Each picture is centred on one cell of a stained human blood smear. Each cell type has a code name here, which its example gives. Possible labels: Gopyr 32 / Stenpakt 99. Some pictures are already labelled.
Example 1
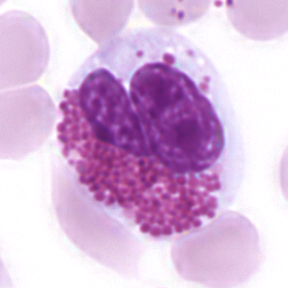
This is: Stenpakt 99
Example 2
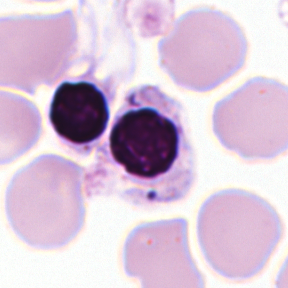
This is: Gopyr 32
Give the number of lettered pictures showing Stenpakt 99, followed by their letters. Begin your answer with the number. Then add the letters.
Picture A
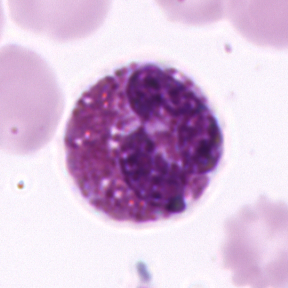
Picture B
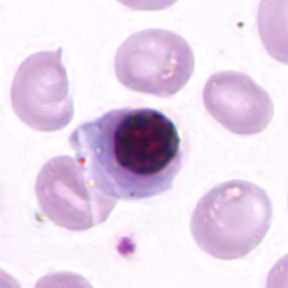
Count: 1 (A)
